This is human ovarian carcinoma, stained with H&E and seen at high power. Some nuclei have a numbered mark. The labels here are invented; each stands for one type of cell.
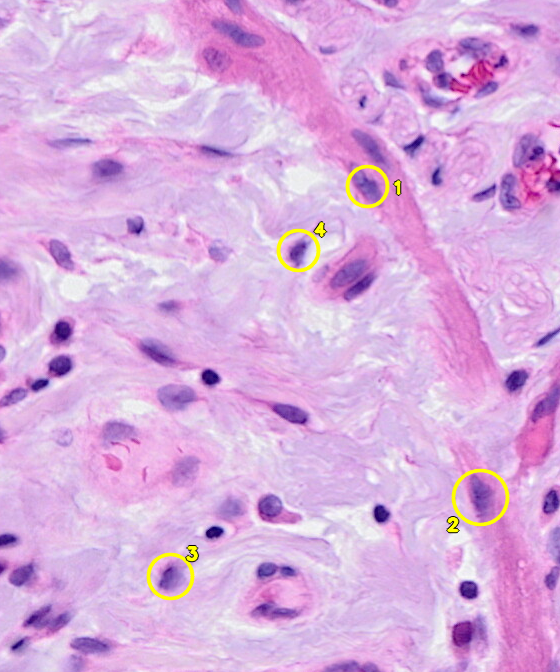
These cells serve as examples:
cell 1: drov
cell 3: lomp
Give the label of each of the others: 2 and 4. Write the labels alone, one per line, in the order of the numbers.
drov
lomp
